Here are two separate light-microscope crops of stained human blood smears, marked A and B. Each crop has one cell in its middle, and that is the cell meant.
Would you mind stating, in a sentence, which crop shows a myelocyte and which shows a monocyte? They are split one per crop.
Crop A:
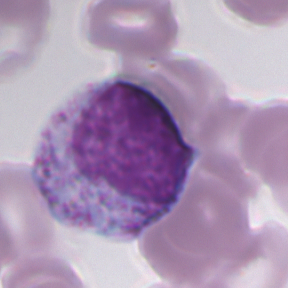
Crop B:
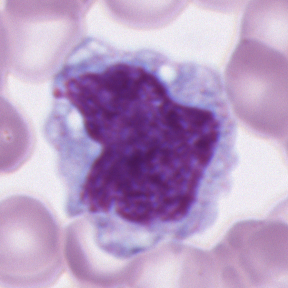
Crop A is identified as a myelocyte, and crop B is identified as a monocyte.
